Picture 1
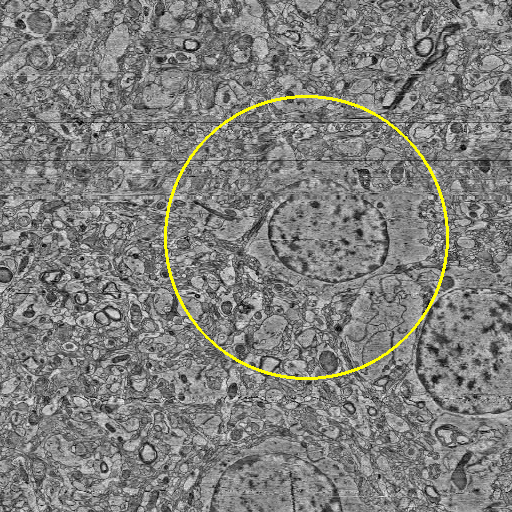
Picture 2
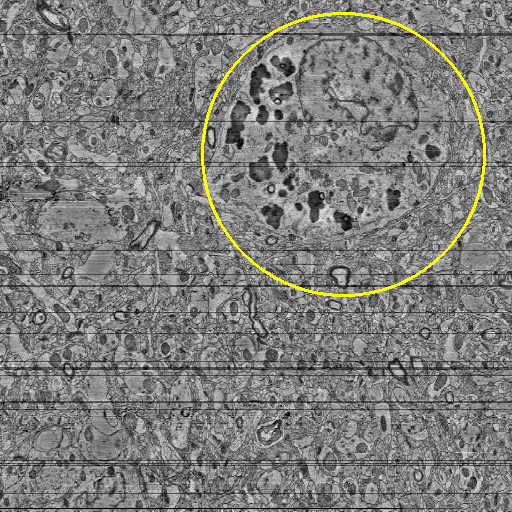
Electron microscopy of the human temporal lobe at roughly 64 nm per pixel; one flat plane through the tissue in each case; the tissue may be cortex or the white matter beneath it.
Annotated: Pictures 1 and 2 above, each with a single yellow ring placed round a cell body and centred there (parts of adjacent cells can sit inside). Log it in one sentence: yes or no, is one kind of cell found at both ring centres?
No, the ring centres of the two pictures hold cells of two kinds.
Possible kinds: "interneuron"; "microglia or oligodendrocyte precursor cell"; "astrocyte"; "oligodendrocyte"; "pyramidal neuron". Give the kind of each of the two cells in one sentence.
The cell in the second picture is an interneuron, and that in the first is an astrocyte.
